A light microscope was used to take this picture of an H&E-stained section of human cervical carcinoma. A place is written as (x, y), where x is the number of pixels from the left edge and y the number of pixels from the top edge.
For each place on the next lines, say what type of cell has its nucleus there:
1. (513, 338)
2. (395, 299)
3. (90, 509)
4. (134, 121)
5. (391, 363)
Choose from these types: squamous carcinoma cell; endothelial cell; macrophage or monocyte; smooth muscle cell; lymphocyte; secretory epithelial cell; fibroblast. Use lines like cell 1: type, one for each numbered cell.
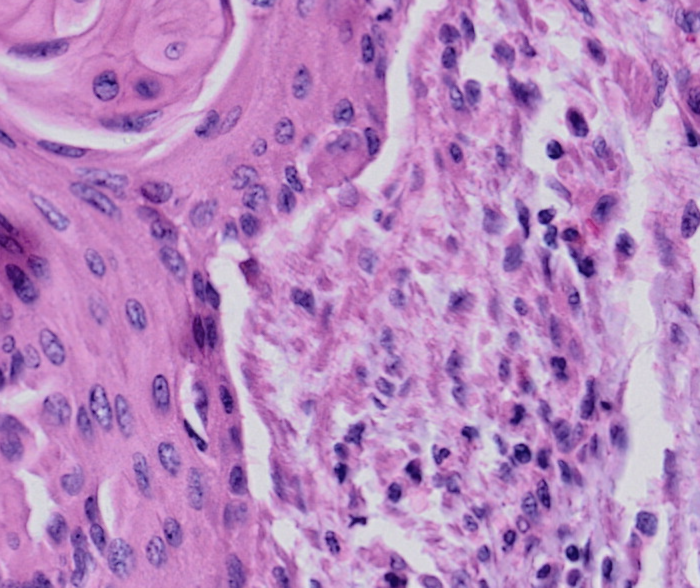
cell 1: fibroblast
cell 2: fibroblast
cell 3: squamous carcinoma cell
cell 4: squamous carcinoma cell
cell 5: fibroblast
